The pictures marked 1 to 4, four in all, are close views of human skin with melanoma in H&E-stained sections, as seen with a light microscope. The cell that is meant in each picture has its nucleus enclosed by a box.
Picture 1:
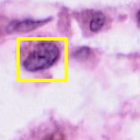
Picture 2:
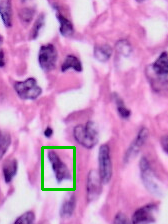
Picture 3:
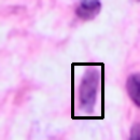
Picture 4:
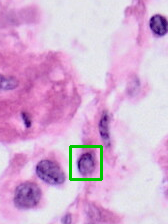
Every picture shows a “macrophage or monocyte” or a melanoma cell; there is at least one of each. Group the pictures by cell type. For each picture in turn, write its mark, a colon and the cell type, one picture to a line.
1: macrophage or monocyte
2: melanoma cell
3: macrophage or monocyte
4: macrophage or monocyte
